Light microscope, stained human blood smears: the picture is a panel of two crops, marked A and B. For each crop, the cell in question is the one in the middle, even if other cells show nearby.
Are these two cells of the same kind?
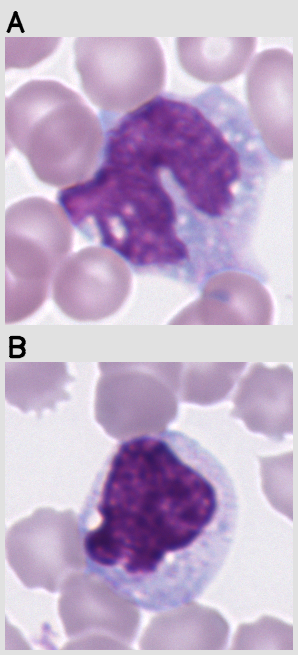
yes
